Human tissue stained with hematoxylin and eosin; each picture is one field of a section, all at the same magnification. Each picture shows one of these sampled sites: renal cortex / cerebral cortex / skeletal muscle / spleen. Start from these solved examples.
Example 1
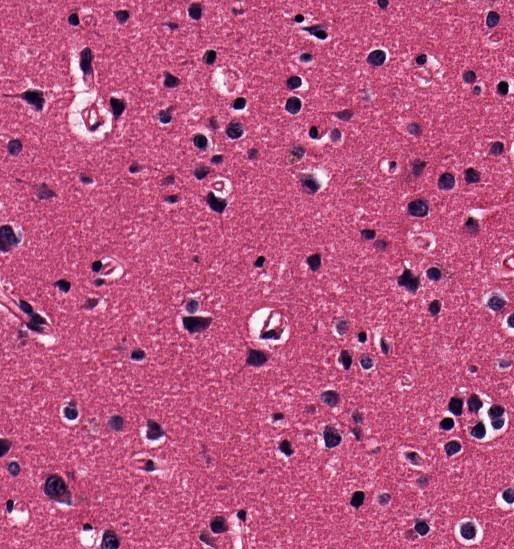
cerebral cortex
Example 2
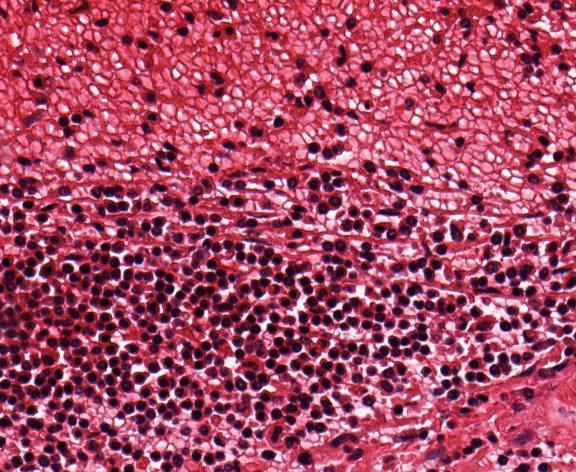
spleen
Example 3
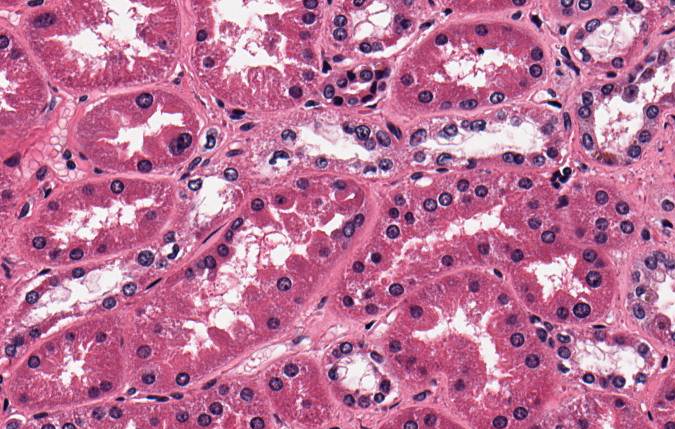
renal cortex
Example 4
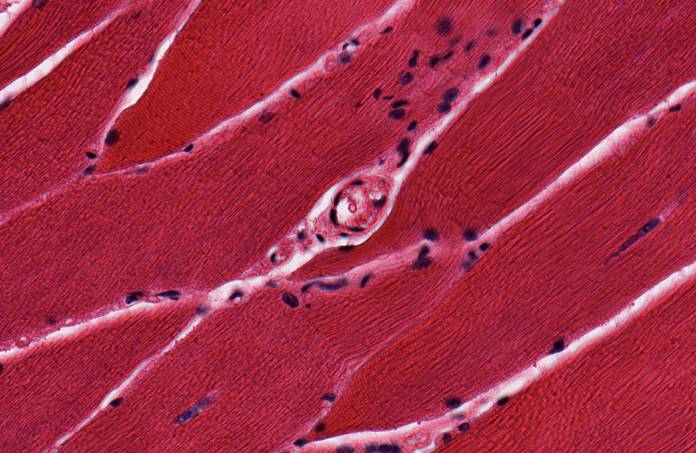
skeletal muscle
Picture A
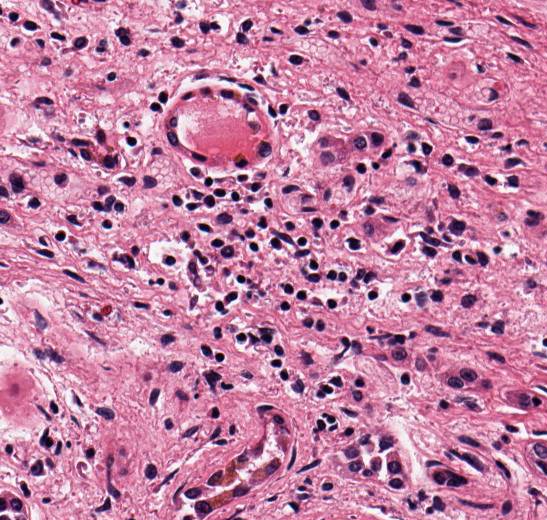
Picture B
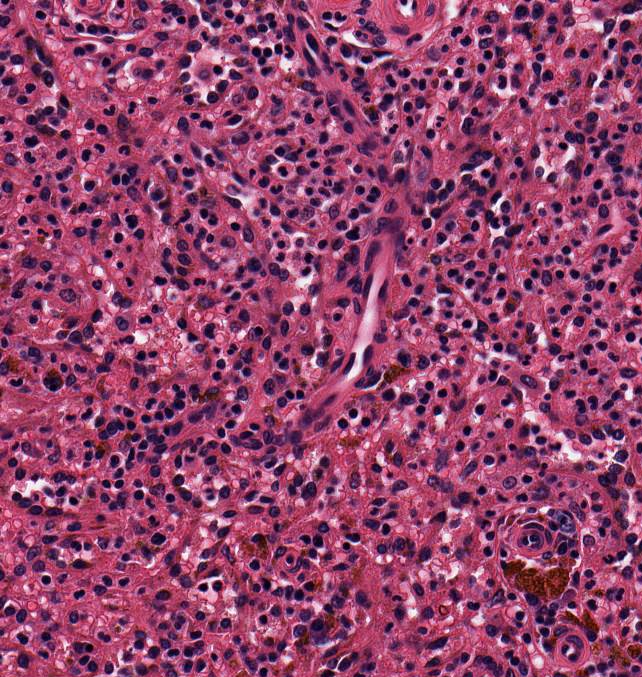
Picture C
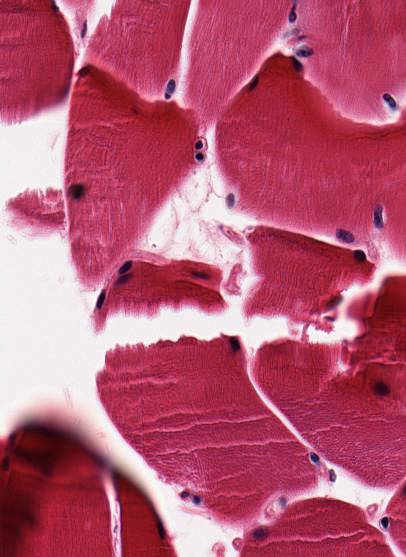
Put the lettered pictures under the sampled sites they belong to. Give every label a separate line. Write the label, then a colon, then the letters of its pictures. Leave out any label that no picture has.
renal cortex: A
skeletal muscle: C
spleen: B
